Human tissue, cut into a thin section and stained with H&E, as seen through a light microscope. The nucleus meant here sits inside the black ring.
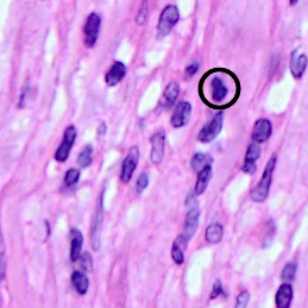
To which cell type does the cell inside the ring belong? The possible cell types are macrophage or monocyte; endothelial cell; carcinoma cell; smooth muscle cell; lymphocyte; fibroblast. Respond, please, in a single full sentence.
Placed in its cell category, the cell inside the ring is a lymphocyte.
